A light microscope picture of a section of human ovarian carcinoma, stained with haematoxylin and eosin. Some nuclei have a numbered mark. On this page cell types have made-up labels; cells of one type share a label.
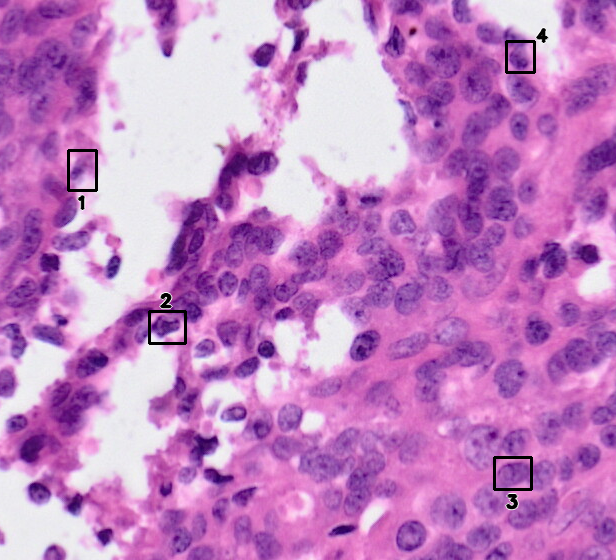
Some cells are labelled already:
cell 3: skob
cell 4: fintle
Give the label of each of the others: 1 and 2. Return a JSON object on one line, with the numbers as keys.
{"1": "fintle", "2": "skob"}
